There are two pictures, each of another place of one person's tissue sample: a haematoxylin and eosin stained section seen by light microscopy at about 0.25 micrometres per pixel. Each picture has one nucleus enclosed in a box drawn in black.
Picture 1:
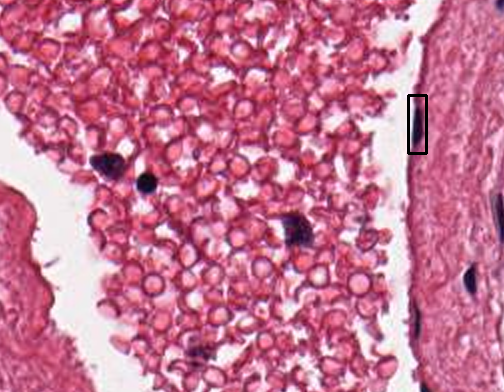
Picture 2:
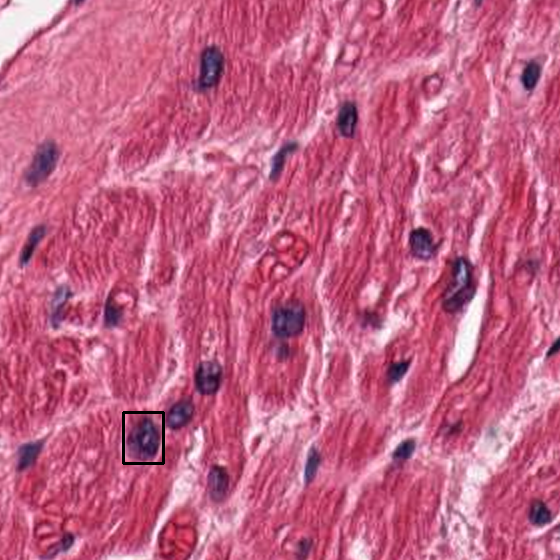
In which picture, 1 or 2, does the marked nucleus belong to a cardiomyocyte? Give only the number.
2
